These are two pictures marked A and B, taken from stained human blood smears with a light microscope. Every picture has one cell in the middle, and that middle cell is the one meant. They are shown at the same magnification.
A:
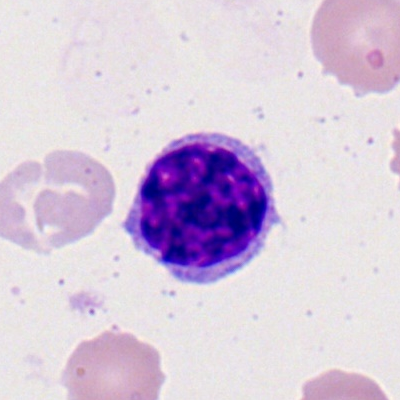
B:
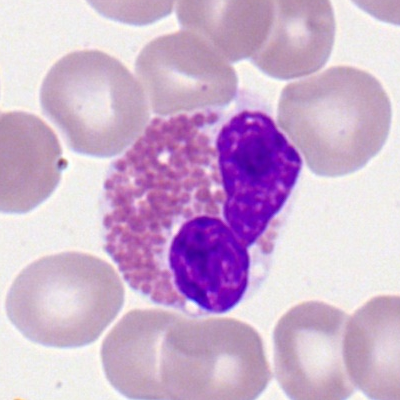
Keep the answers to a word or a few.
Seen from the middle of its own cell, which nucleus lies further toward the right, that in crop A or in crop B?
B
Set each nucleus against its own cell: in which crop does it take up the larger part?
A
